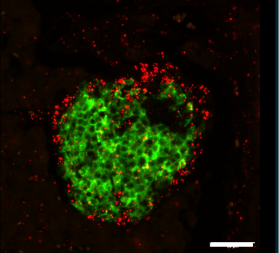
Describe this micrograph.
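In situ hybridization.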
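A rounded pancreatic islet of tightly packed green-filled polygonal cells is overlaid with many small discrete red dots. The red dots are scattered over the islet and are especially dense along its rim, and a few lie in the darker tissue outside it.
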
